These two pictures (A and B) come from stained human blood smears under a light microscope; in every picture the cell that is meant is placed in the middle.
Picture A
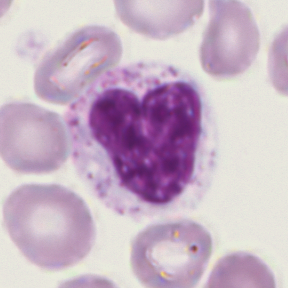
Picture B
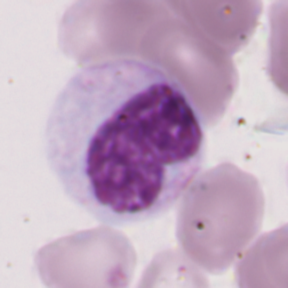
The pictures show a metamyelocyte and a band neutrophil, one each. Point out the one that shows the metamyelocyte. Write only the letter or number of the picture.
B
